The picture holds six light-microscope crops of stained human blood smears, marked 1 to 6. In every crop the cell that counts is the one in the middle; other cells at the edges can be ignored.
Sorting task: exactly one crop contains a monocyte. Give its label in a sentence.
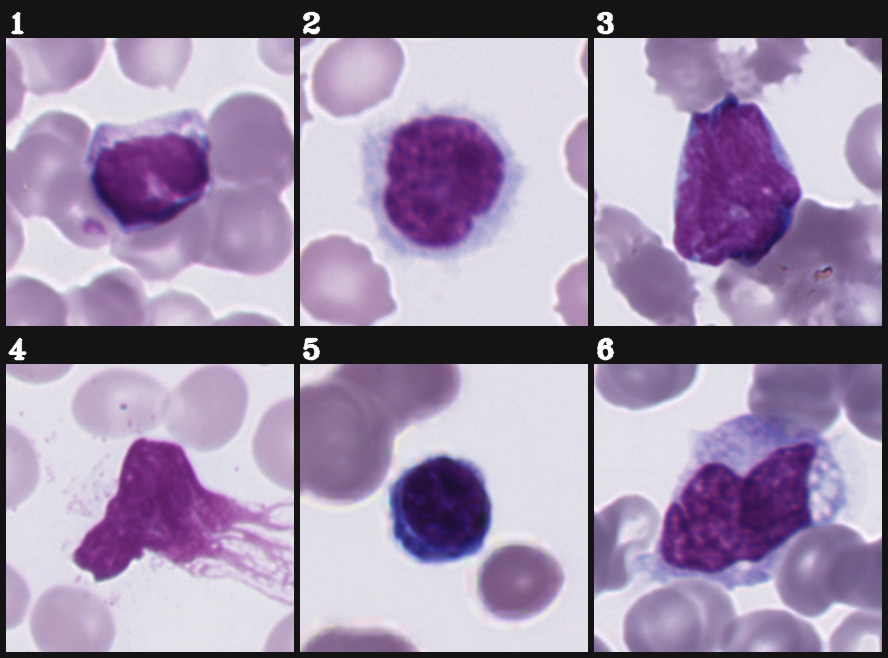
The crop marked 6 is the one in which a monocyte is shown.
